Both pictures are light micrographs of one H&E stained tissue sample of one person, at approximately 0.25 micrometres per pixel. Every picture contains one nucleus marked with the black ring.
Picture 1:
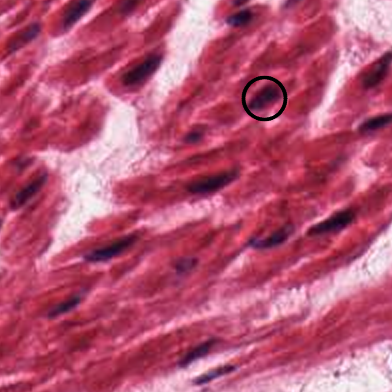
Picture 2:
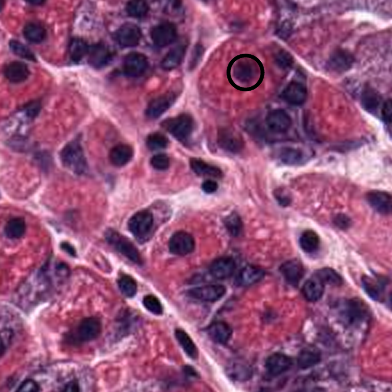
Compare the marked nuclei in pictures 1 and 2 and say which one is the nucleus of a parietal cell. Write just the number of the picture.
2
